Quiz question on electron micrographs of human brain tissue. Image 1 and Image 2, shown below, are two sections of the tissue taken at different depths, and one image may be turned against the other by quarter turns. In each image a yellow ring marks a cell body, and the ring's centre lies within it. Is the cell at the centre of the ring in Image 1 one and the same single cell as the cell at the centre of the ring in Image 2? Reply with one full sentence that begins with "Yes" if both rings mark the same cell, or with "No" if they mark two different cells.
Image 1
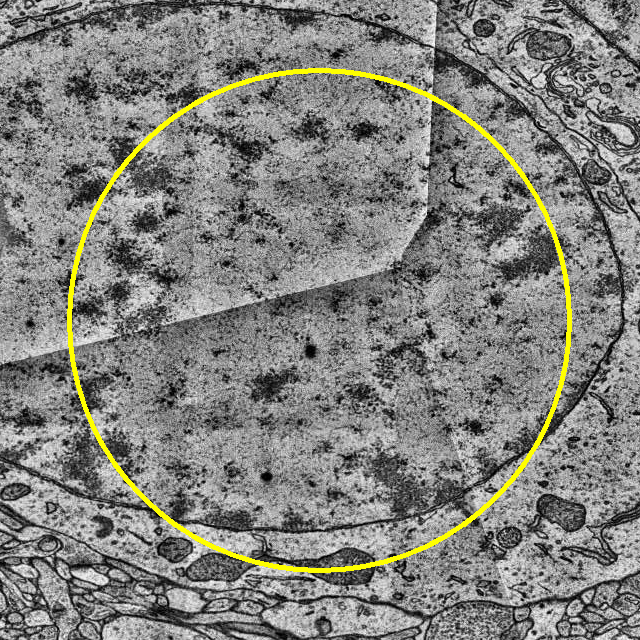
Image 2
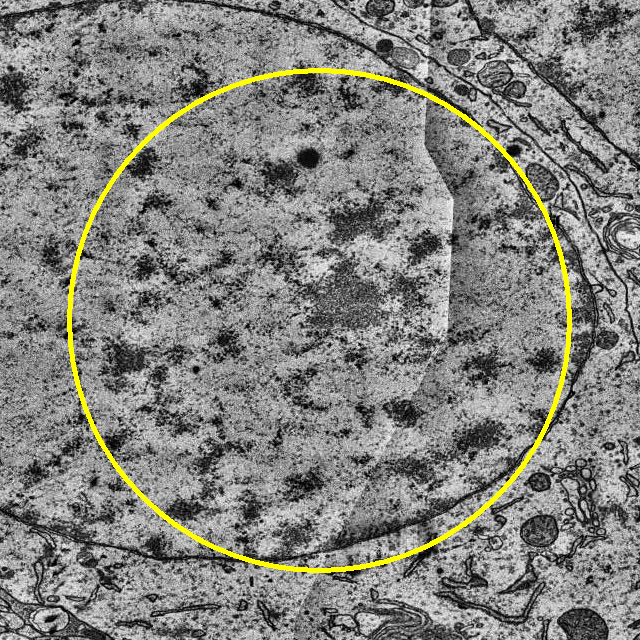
Yes, one cell appears twice, once in each ring.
